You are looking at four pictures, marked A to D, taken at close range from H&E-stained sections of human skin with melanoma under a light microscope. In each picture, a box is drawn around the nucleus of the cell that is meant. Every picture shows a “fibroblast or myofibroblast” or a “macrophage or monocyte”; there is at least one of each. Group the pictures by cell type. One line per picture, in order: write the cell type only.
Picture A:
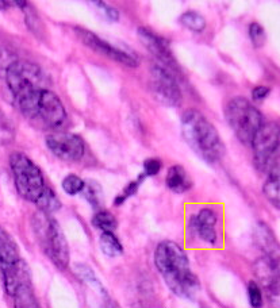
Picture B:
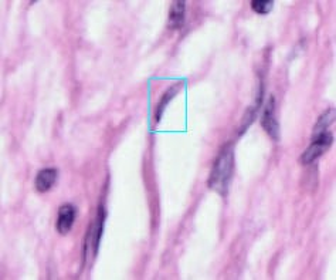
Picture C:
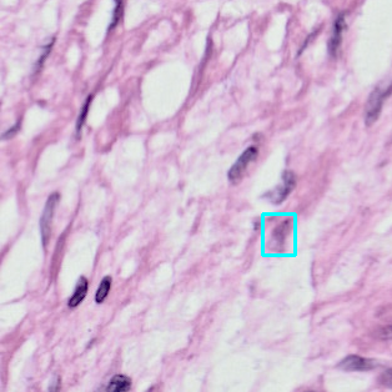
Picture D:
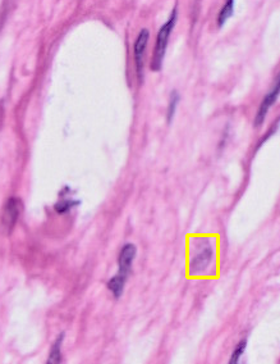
macrophage or monocyte
fibroblast or myofibroblast
fibroblast or myofibroblast
fibroblast or myofibroblast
